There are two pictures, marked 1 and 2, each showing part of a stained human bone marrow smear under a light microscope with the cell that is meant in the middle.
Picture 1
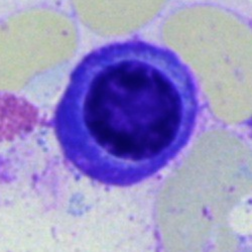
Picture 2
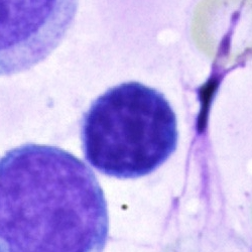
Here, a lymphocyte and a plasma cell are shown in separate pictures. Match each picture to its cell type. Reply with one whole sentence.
Picture 2 shows a lymphocyte, while picture 1 shows a plasma cell.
